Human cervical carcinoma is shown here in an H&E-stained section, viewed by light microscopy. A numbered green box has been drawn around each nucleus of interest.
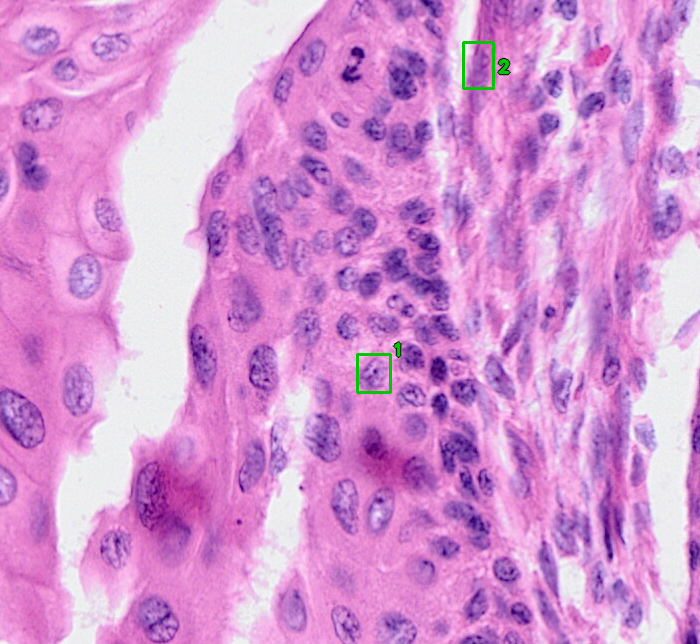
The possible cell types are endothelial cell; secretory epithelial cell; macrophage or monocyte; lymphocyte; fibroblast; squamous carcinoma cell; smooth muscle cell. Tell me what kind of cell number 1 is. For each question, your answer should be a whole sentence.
In this section, the cell tagged 1 is a squamous carcinoma cell.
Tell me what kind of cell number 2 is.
The cell marked with the number 2 is a fibroblast.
